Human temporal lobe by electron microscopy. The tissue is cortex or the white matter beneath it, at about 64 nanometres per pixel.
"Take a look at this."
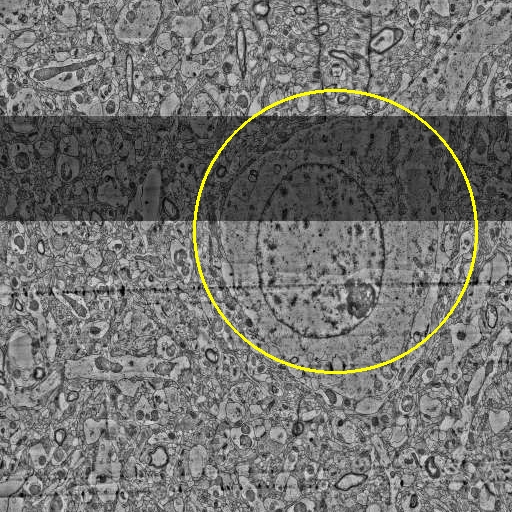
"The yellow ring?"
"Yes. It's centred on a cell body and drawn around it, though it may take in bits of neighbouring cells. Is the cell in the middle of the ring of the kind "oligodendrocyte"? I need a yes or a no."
No, it is of another kind.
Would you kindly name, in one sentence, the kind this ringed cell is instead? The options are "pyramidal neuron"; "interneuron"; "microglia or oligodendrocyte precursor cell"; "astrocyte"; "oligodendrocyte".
The cell enclosed by the ring is a pyramidal neuron.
